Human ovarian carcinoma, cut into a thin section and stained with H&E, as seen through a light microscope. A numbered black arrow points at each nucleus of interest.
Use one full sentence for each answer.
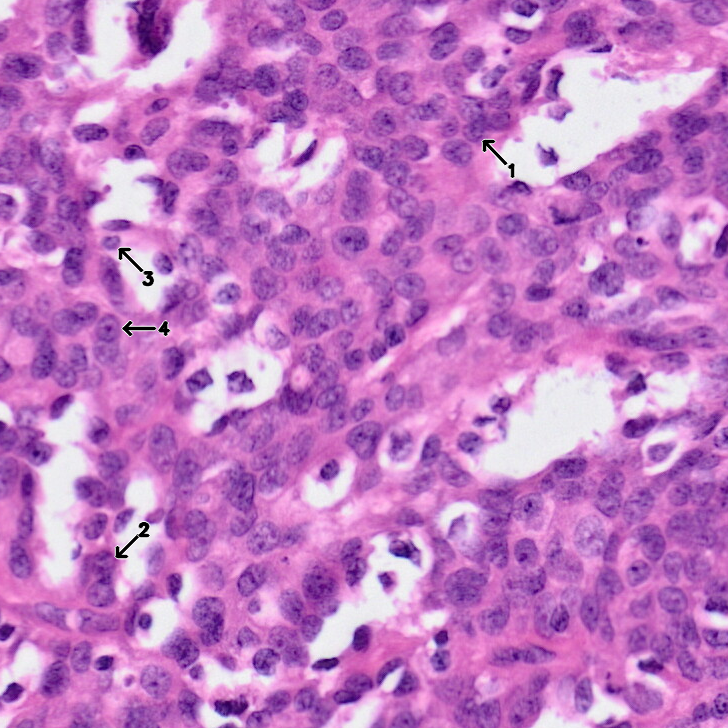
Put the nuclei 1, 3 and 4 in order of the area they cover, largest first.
From largest to smallest, the order is 4, 1, 3.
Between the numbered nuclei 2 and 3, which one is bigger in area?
Of the two, number 2 is bigger and takes up about 2 times the area of number 3.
